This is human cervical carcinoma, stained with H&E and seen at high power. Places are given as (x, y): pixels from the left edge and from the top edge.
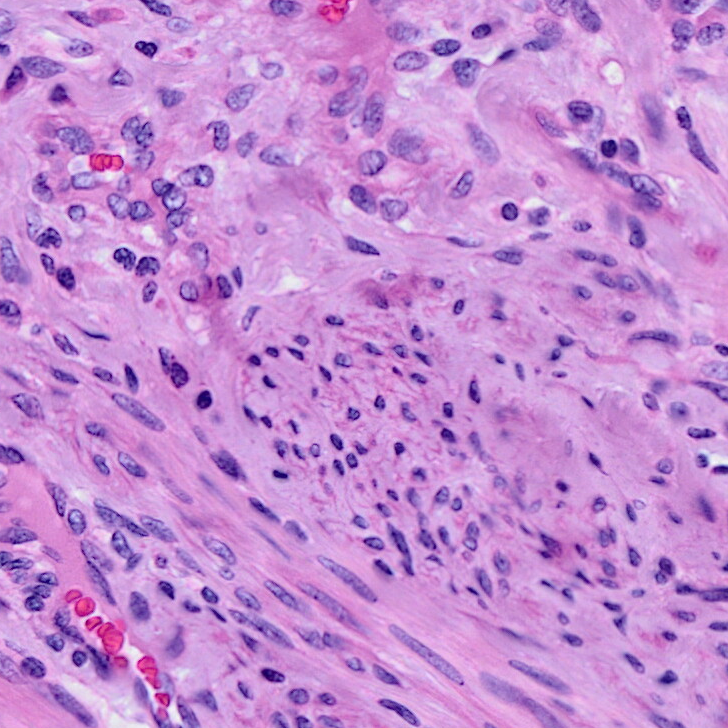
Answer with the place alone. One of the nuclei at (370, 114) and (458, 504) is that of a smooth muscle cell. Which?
(458, 504)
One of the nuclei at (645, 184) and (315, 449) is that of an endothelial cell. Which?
(645, 184)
